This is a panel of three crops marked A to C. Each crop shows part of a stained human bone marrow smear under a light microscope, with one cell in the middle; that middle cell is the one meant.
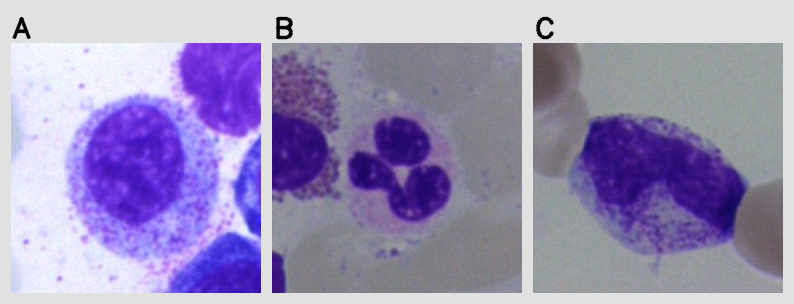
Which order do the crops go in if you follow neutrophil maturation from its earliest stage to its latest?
A, C, B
